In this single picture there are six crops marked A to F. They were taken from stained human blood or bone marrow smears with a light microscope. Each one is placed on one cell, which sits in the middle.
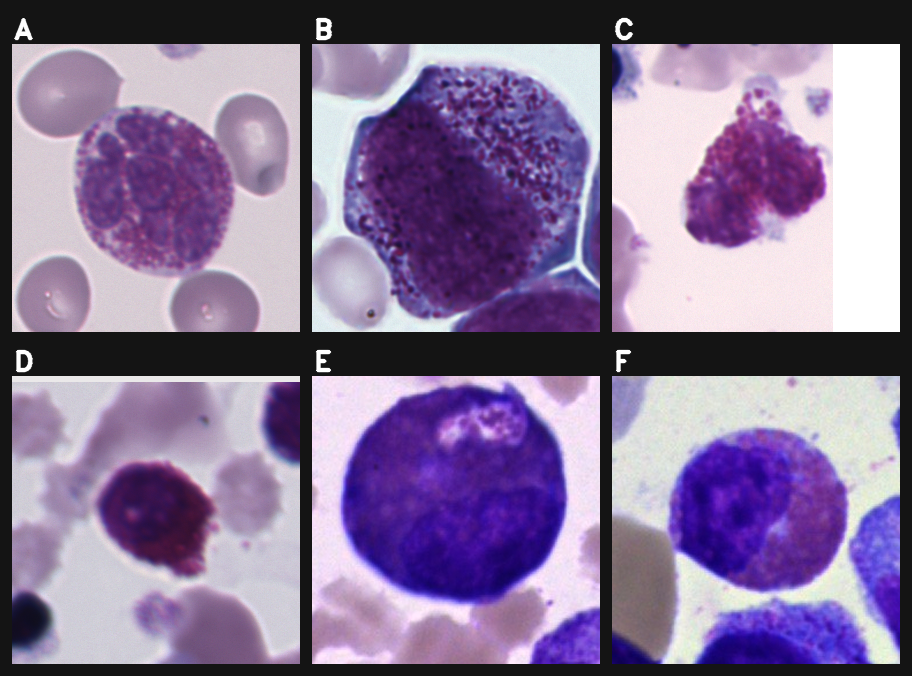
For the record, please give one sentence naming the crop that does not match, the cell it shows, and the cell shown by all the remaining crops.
Only crop B differs, being a promyelocyte, while the others all show eosinophils.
